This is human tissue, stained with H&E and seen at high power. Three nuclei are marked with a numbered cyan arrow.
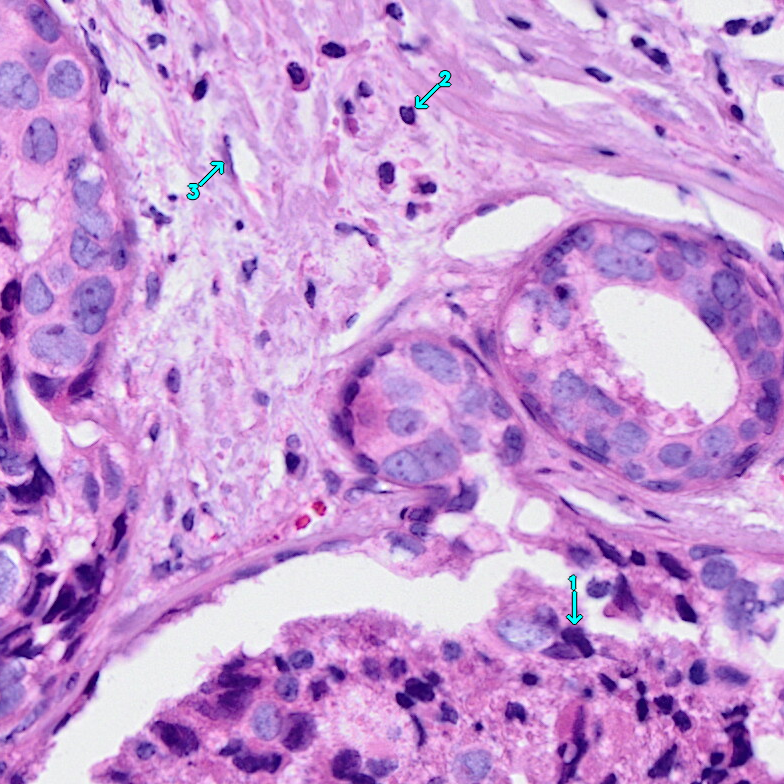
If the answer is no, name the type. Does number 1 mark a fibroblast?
No, it is a carcinoma cell.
